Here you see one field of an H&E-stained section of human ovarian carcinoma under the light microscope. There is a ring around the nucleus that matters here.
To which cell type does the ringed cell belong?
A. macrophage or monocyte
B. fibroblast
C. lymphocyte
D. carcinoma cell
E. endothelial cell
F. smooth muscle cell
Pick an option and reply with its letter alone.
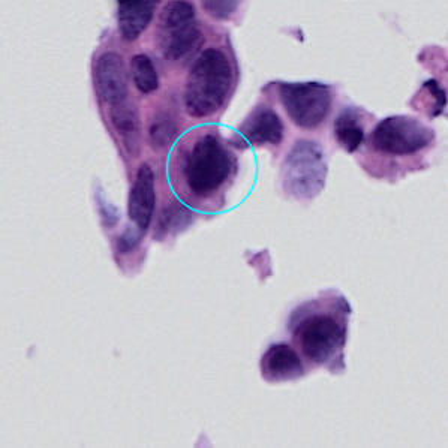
D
